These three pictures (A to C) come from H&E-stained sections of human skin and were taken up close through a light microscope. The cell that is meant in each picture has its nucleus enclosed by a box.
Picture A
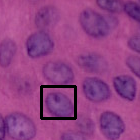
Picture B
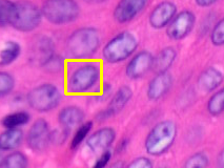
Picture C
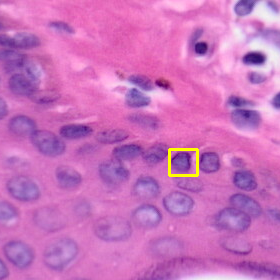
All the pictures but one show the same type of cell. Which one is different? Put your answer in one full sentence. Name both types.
All pictures except C show suprabasal keratinocytes; picture C shows a basal keratinocyte.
